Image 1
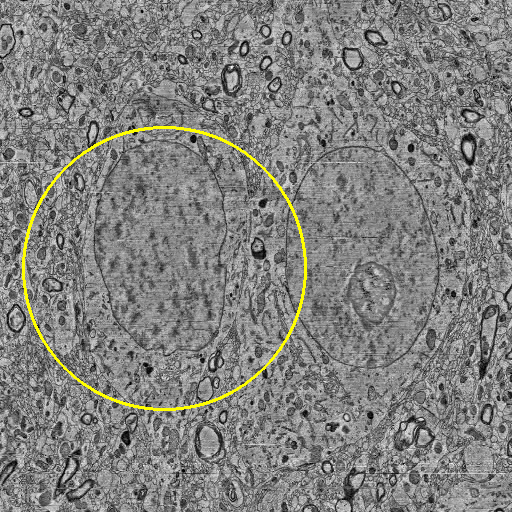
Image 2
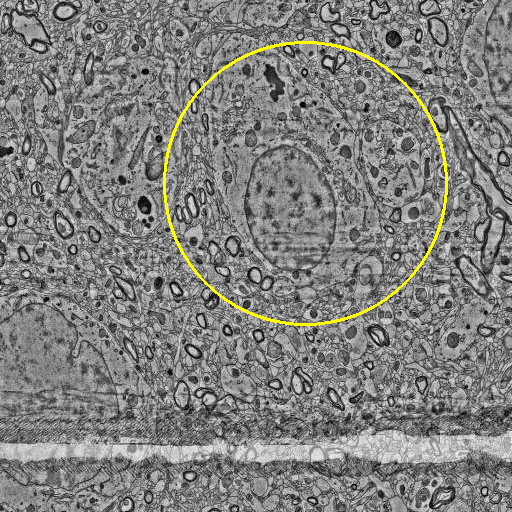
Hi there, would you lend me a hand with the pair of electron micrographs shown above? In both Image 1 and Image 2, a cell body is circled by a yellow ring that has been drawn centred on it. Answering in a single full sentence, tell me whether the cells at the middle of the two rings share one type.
No, the ringed cells in Image 1 and Image 2 belong to two types.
